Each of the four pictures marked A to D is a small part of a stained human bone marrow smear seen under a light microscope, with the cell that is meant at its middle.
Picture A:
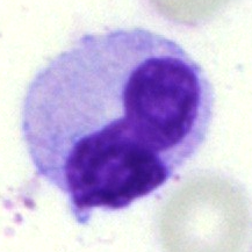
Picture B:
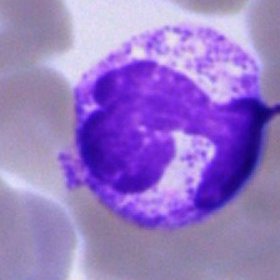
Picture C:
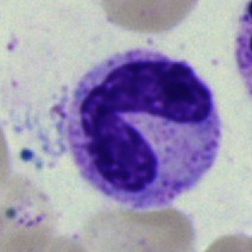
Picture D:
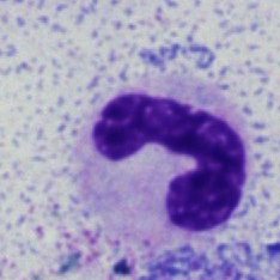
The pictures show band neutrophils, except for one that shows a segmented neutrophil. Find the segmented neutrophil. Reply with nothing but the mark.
B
